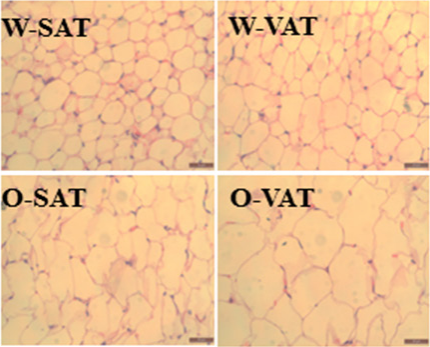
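Four fields of adipose tissue show tightly packed adipocytes, each seen as a rounded to polygonal clear space bounded by a thin pink rim. The cell interiors are almost entirely unstained, where the lipid has been removed during processing. Small dark purple nuclei are sparse and lie flattened at the cell borders or in the narrow spaces between cells. The adipocytes in the upper two fields are small and fairly uniform. Those in the lower two fields are markedly larger and more variable in size, with thinner and more irregular borders between neighbouring cells.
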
